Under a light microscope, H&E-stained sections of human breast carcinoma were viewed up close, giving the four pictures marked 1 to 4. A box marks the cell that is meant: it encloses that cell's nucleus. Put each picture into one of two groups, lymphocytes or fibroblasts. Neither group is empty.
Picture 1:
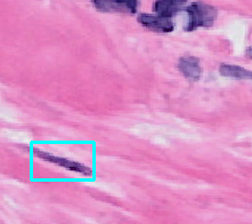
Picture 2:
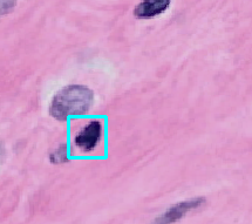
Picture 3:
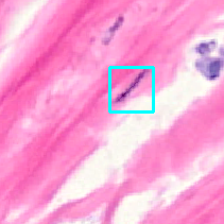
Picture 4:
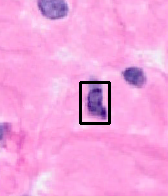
1: fibroblast
2: lymphocyte
3: fibroblast
4: lymphocyte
